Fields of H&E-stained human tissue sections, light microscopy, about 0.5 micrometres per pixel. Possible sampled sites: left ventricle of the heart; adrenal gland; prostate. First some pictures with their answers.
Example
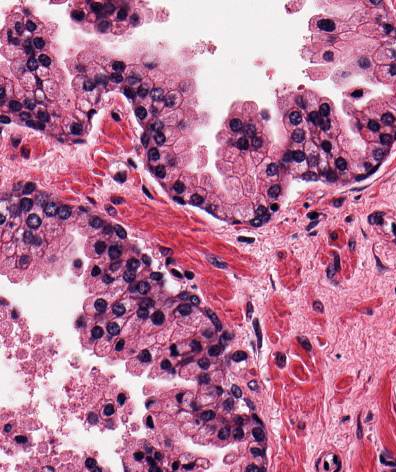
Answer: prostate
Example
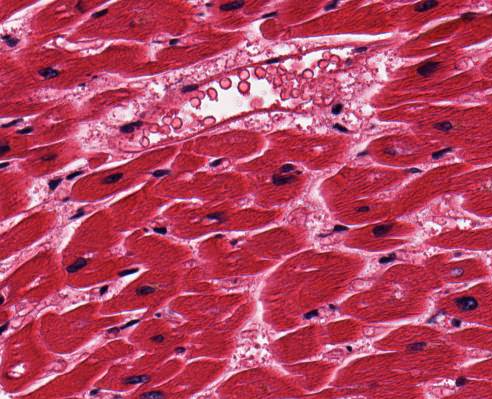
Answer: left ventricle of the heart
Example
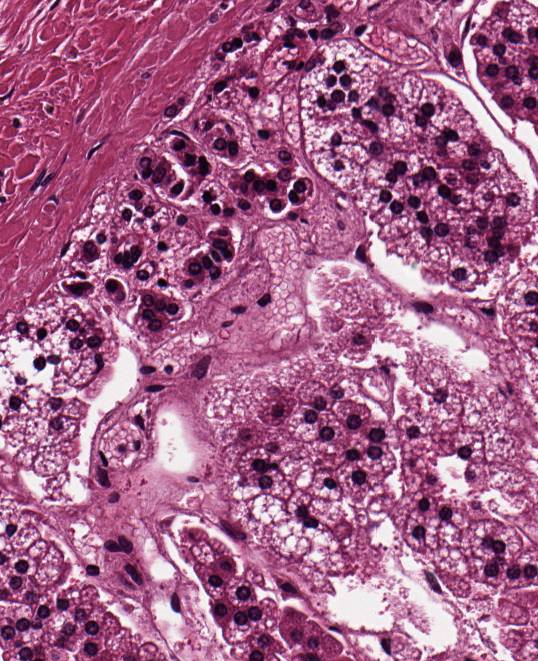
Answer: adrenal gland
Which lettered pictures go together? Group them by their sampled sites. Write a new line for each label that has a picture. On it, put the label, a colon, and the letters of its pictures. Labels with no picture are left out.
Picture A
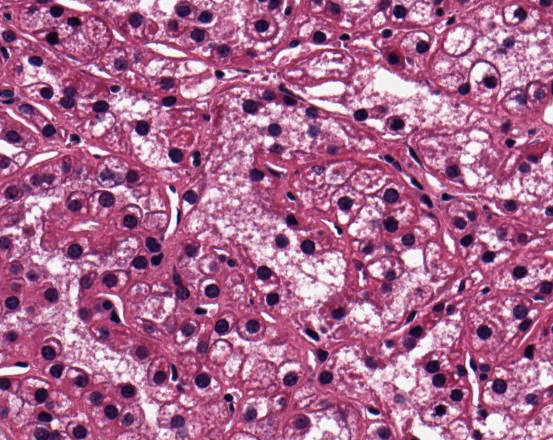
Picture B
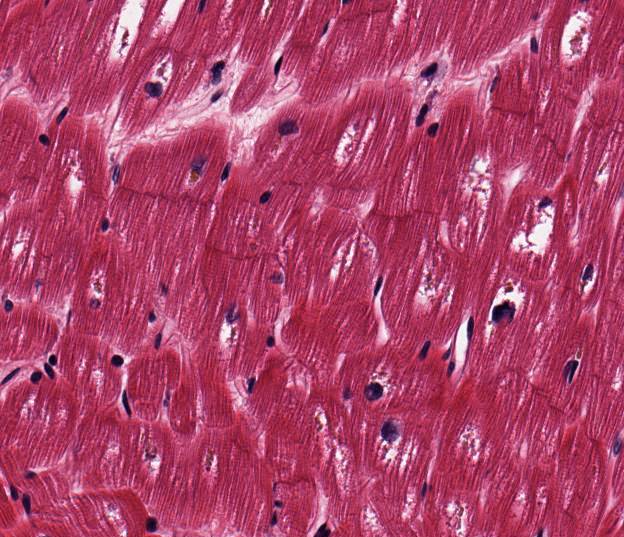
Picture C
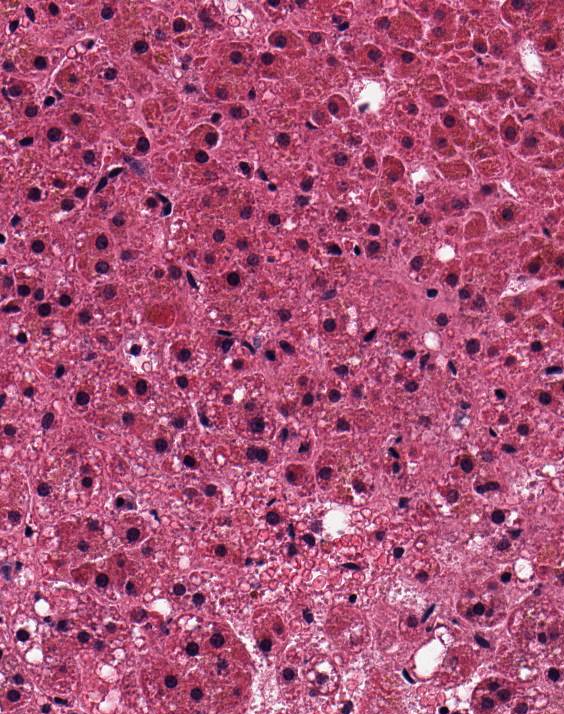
left ventricle of the heart: B
adrenal gland: A, C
